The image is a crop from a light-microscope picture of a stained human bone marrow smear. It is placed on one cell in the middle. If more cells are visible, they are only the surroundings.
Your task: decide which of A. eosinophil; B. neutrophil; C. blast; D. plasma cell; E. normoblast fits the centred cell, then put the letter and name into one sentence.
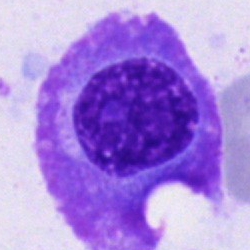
In this crop the central cell is a plasma cell, which option D correctly states.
